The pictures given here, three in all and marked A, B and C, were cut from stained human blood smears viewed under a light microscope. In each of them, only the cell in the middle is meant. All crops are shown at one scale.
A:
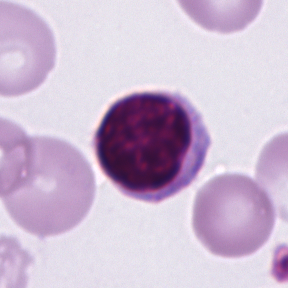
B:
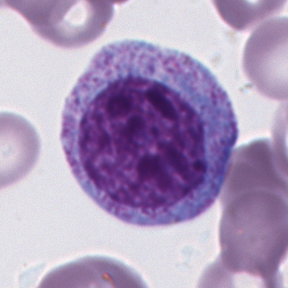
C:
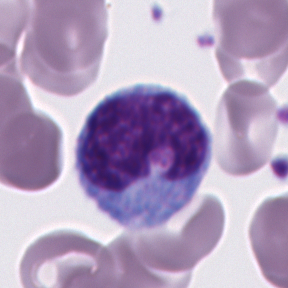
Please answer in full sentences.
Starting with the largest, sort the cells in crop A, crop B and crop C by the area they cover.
Going down, they run B, C, A.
